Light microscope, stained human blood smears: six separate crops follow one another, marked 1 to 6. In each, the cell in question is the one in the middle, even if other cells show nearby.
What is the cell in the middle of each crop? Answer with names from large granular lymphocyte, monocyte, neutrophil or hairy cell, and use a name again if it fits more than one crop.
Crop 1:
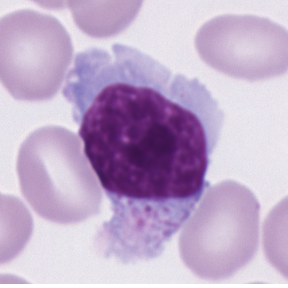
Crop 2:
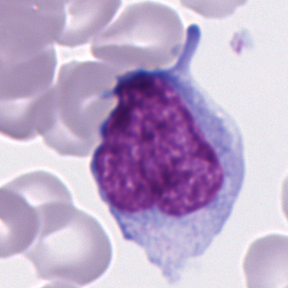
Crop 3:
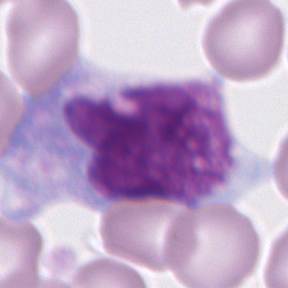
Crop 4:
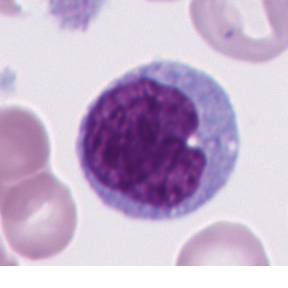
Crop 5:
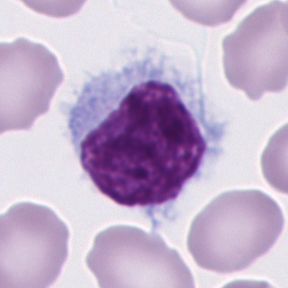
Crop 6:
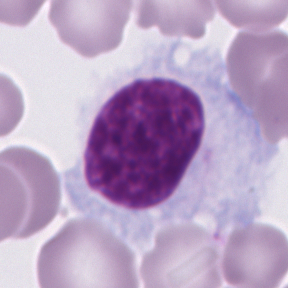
1: large granular lymphocyte
2: monocyte
3: monocyte
4: monocyte
5: hairy cell
6: hairy cell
